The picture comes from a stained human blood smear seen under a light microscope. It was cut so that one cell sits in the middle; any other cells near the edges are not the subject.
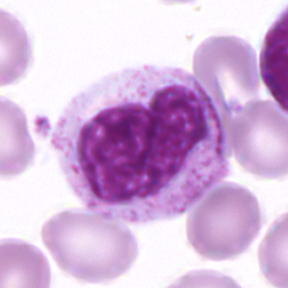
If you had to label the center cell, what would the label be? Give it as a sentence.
By classification, the middle cell of this crop is a band neutrophil.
